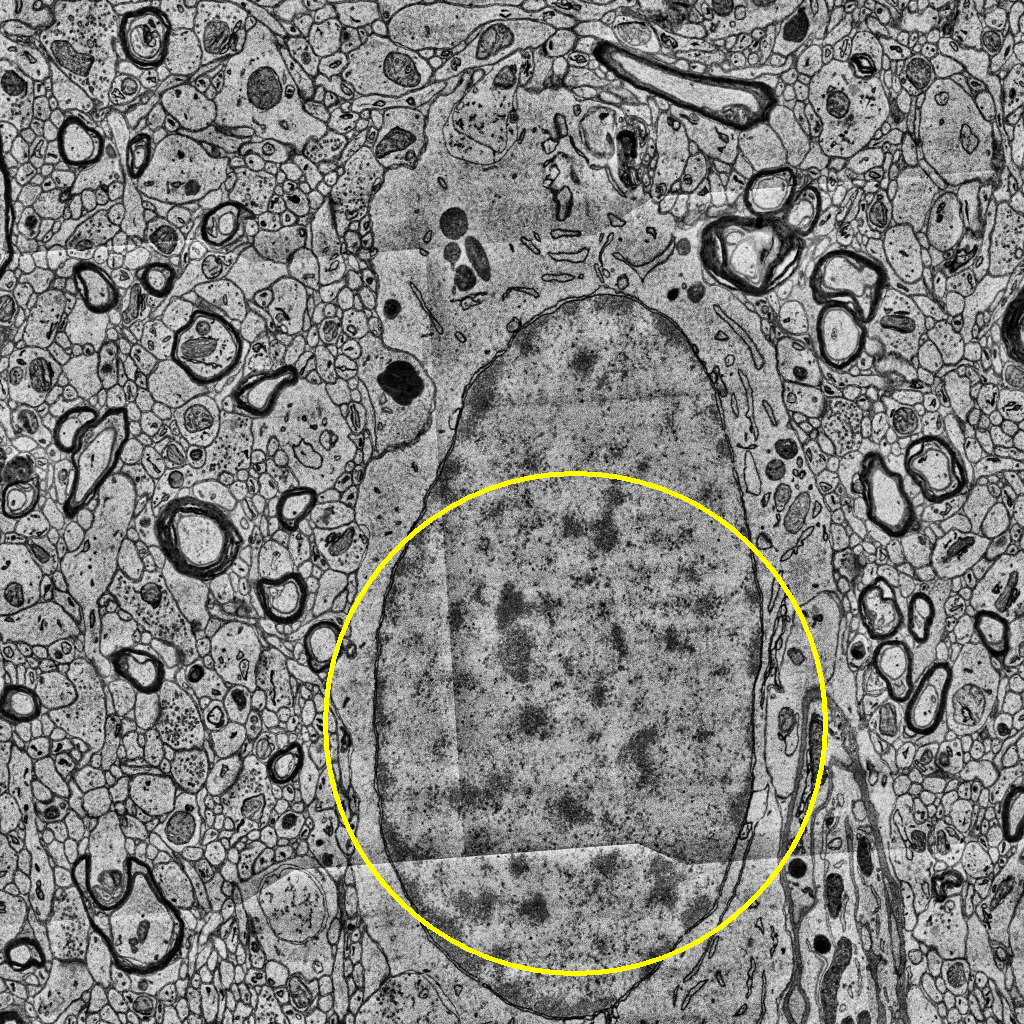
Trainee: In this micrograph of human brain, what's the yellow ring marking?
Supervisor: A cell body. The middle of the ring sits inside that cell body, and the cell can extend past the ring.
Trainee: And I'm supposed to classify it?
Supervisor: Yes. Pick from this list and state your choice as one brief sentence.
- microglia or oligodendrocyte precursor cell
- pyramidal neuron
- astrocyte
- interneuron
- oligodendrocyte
The cell at the ring's center is a microglial cell or oligodendrocyte precursor cell.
